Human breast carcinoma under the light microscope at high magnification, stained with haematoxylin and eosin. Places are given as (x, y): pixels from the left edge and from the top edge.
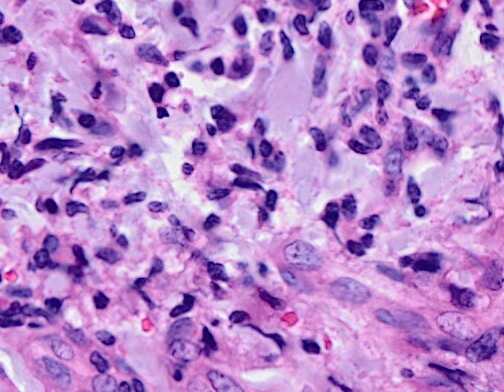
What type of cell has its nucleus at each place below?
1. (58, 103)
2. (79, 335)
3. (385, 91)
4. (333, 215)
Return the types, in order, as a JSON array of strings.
["lymphocyte", "endothelial cell", "lymphocyte", "lymphocyte"]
